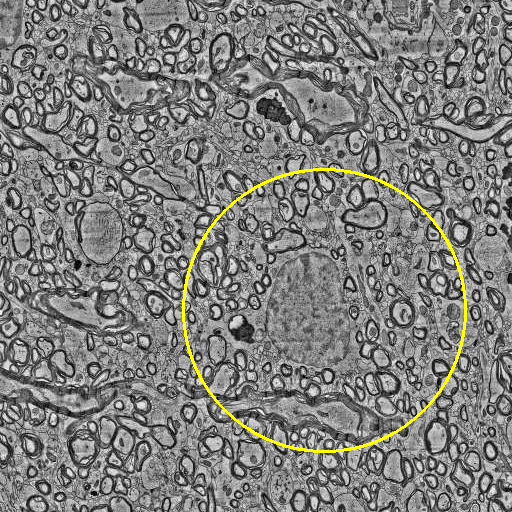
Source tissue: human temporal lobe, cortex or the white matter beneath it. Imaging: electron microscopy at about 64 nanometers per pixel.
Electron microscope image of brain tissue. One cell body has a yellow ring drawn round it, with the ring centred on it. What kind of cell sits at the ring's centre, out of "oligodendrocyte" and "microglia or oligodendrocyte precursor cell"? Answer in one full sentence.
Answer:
It is an oligodendrocyte whose cell body sits at the centre of the yellow ring.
